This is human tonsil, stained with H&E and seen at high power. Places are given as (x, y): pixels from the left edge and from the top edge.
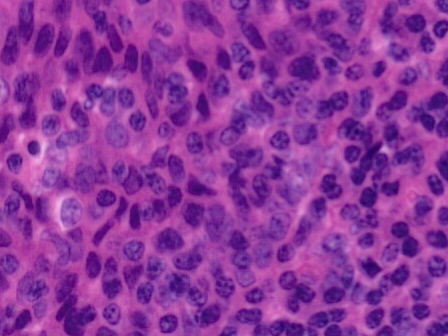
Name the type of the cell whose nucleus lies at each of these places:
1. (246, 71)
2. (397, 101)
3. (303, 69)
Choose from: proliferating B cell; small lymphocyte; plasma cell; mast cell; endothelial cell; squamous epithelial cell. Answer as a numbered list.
1. plasma cell
2. plasma cell
3. squamous epithelial cell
